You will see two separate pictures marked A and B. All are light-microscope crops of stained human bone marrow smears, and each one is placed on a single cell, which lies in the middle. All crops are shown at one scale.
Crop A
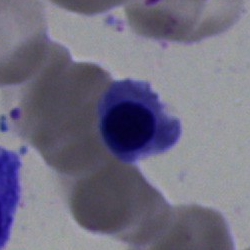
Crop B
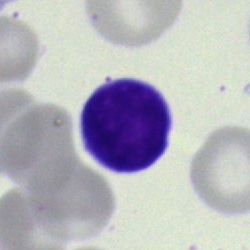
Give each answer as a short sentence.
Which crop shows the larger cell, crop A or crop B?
It is the cell in crop B, about 1.5 times as large in area as the cell in crop A.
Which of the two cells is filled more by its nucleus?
It is the cell in crop B that is filled more by its nucleus.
